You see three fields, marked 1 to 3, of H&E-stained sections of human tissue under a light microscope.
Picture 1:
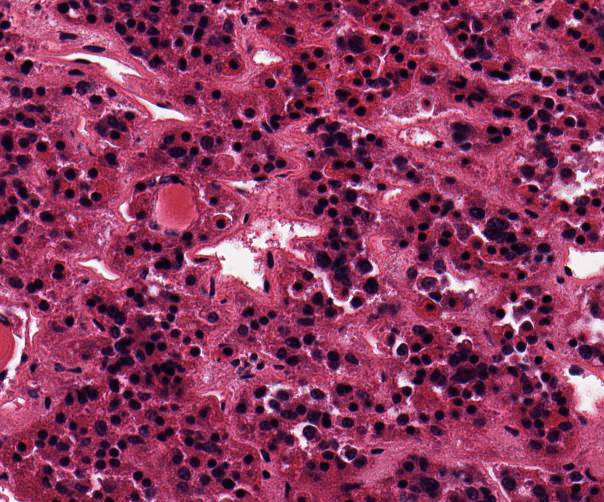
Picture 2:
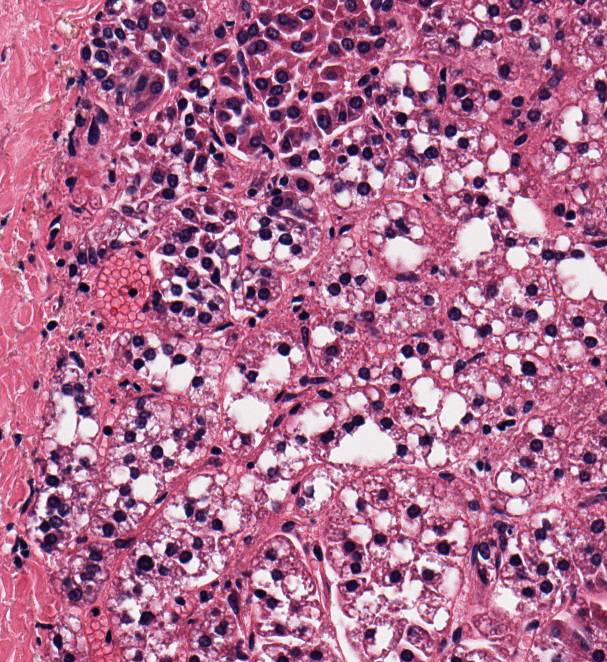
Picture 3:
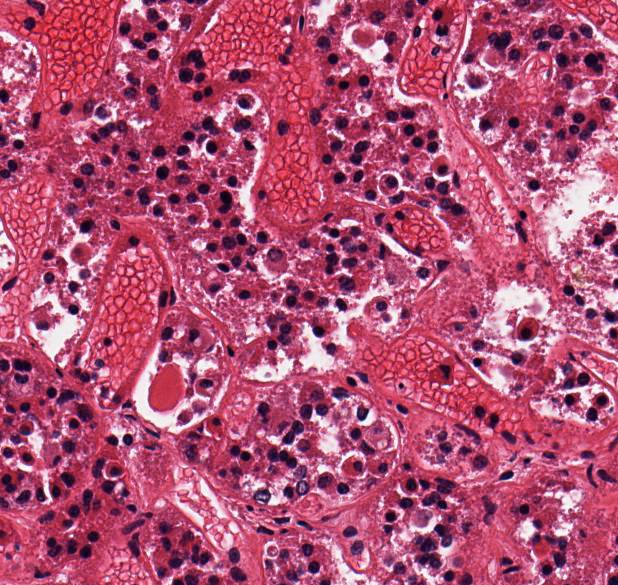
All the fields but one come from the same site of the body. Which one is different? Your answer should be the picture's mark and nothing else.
2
